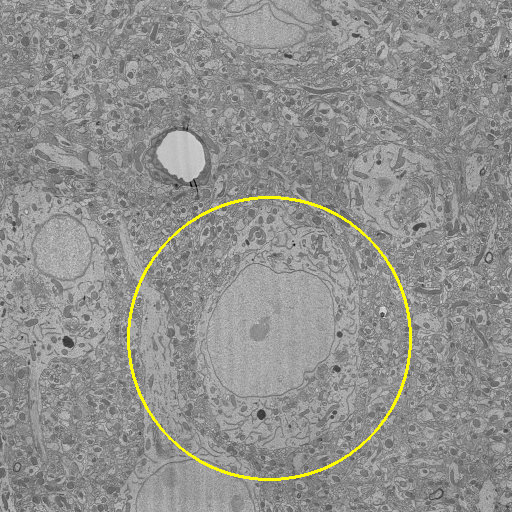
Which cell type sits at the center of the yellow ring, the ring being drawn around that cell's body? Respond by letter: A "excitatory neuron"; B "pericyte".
A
